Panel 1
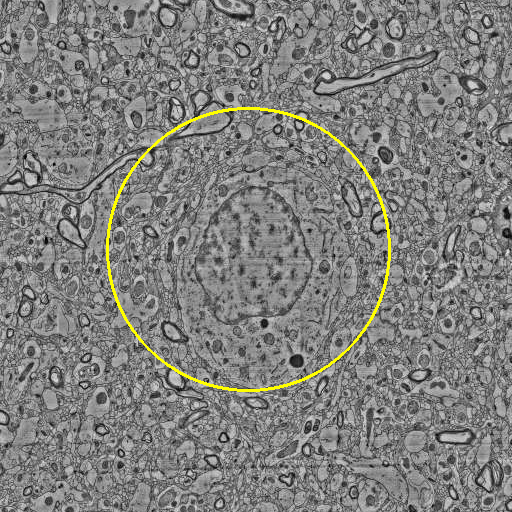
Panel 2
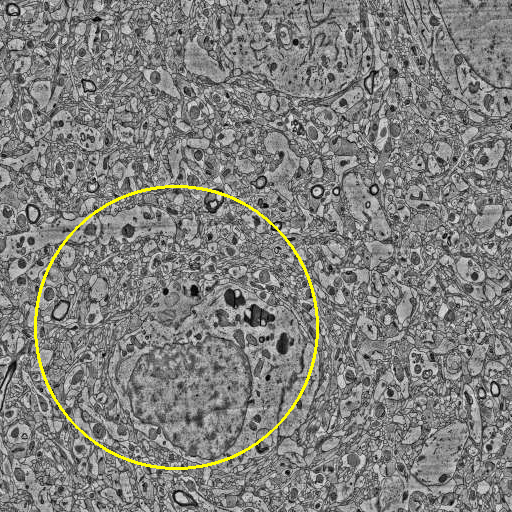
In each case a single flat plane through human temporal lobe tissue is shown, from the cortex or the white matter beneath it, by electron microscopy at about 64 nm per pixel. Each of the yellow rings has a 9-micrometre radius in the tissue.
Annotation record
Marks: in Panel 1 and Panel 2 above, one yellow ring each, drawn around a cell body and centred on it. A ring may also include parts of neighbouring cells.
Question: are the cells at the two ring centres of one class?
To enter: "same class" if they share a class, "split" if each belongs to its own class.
split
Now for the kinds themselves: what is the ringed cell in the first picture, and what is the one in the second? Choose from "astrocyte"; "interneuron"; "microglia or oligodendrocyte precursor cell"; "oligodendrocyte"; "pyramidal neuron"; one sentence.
Here the first cell is an interneuron and the second cell is an oligodendrocyte.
